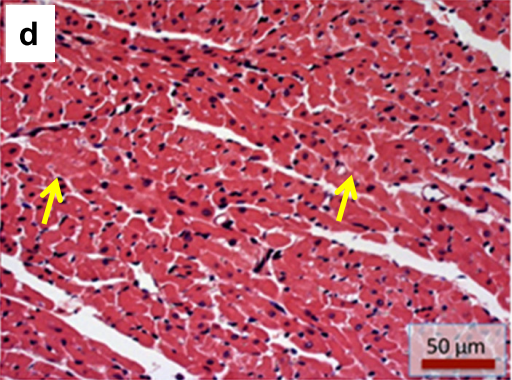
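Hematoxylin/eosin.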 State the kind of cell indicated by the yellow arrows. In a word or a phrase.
cardiomyocytes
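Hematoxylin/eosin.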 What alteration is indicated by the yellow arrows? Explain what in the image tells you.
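The marked muscle cells have paler, washed-out pink cytoplasm than their neighbours. The pale cells lie scattered among normally stained fibres.
Conclusion: intracellular oedema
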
